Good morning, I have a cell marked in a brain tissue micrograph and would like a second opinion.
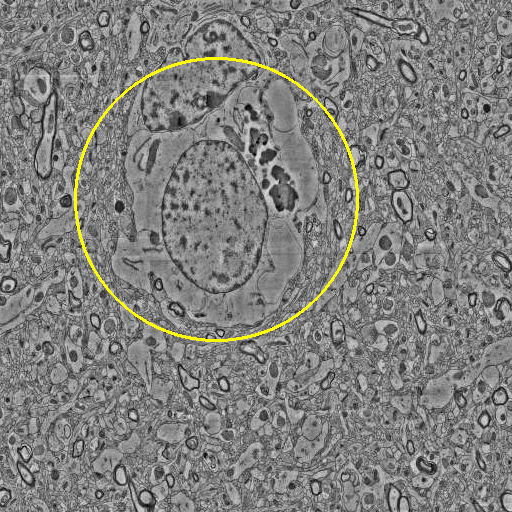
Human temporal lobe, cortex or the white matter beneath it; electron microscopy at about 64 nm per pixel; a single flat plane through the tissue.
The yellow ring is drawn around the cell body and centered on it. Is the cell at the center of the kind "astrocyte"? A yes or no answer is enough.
yes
